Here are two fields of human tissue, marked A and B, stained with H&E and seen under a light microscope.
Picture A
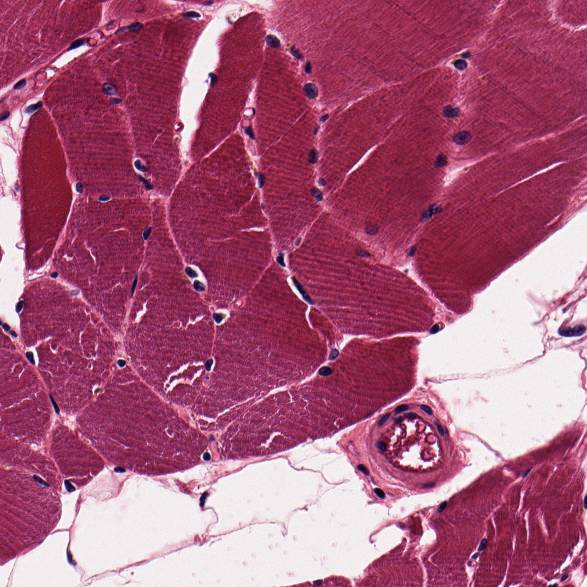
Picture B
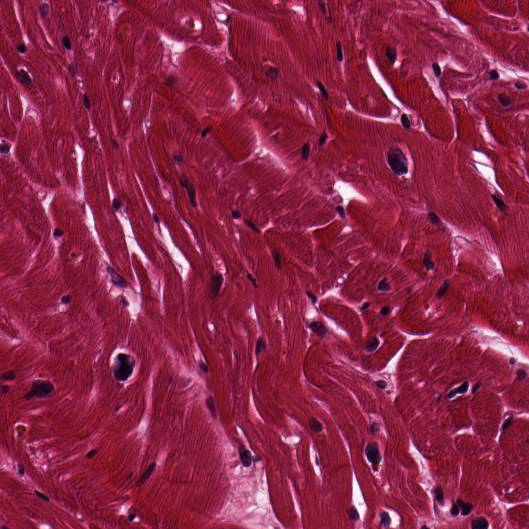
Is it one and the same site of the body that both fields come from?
no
